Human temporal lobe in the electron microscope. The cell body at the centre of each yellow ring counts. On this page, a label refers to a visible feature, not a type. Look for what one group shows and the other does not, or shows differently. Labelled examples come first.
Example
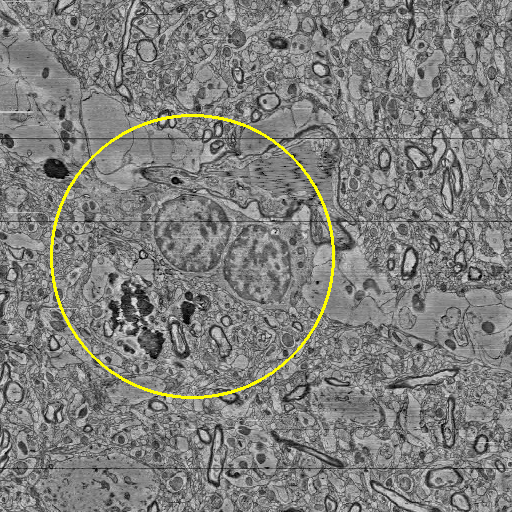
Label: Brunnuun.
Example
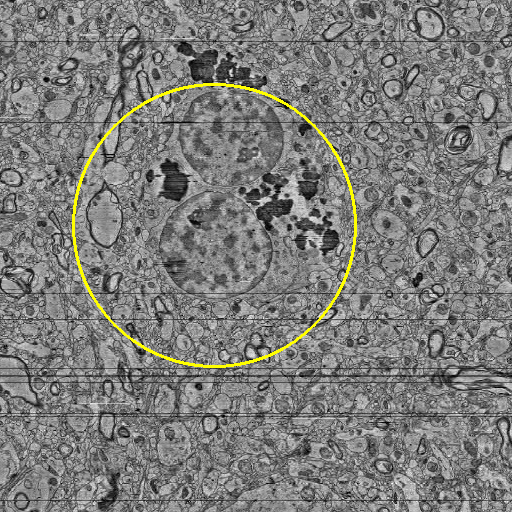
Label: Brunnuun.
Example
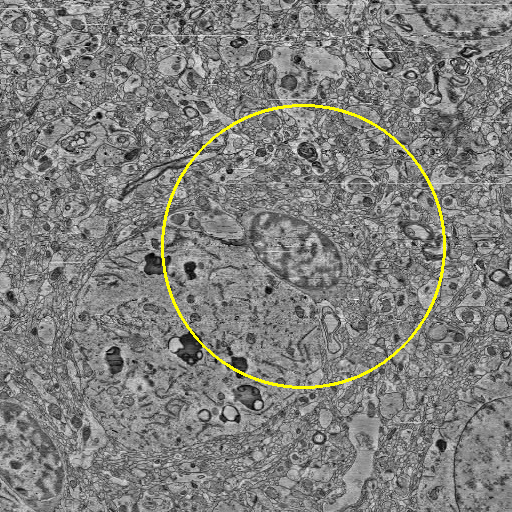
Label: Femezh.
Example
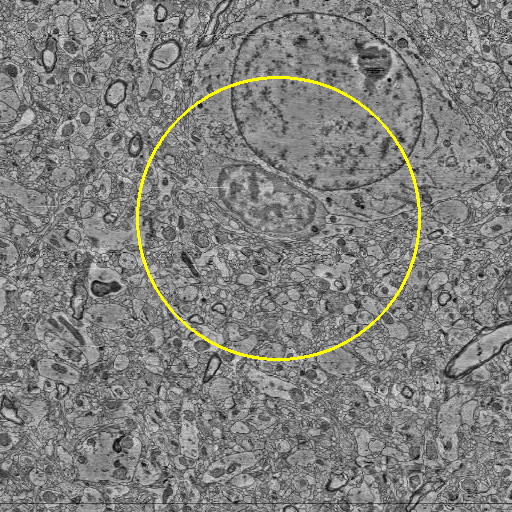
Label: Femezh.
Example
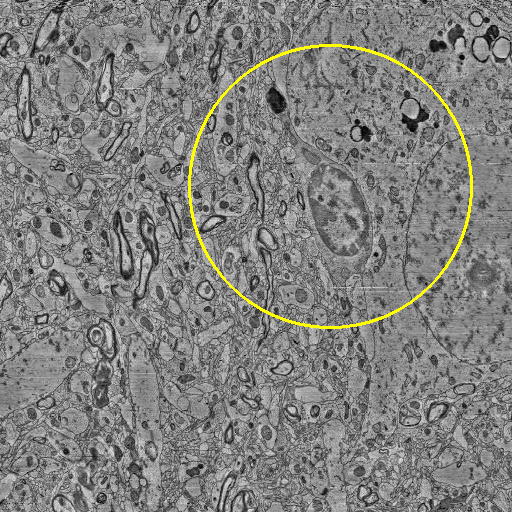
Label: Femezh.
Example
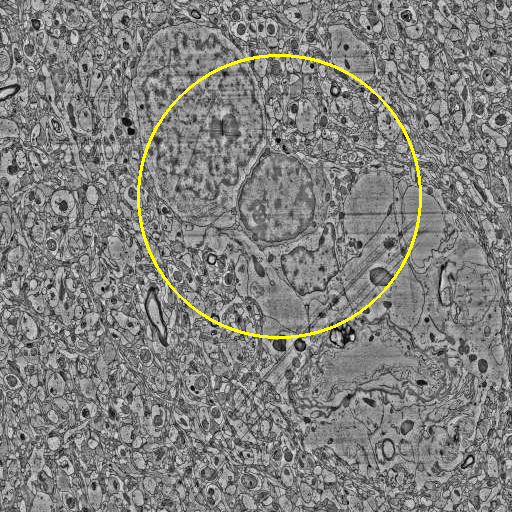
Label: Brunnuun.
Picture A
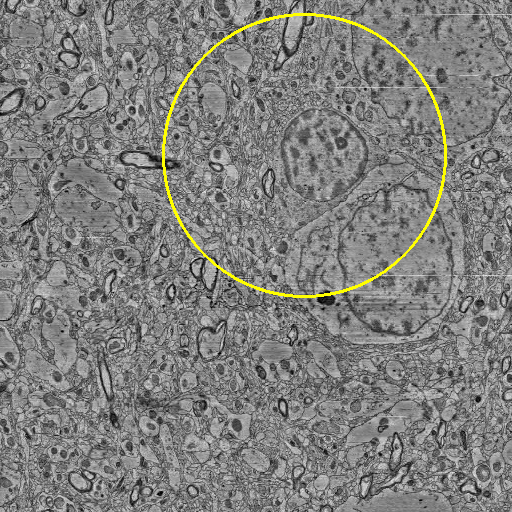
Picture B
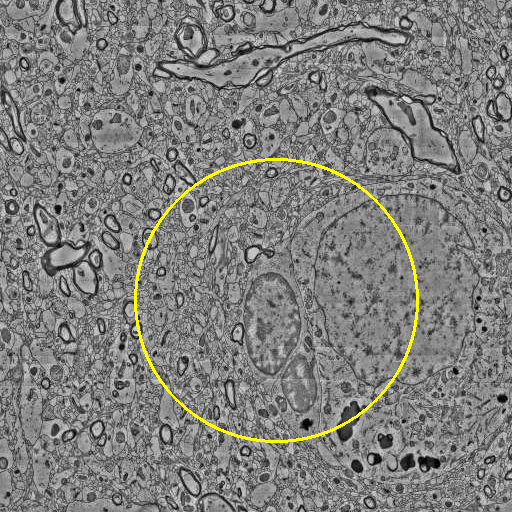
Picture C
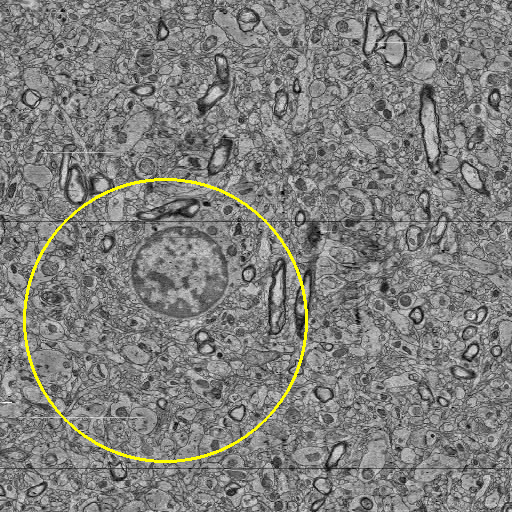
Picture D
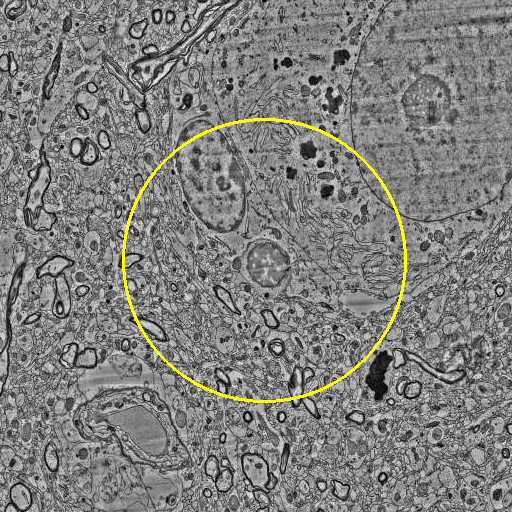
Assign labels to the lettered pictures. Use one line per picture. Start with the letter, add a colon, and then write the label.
A: Brunnuun.
B: Femezh.
C: Brunnuun.
D: Brunnuun.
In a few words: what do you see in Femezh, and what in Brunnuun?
In Femezh: clearly elongated nuclei. In Brunnuun: round or nearly round nuclei.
